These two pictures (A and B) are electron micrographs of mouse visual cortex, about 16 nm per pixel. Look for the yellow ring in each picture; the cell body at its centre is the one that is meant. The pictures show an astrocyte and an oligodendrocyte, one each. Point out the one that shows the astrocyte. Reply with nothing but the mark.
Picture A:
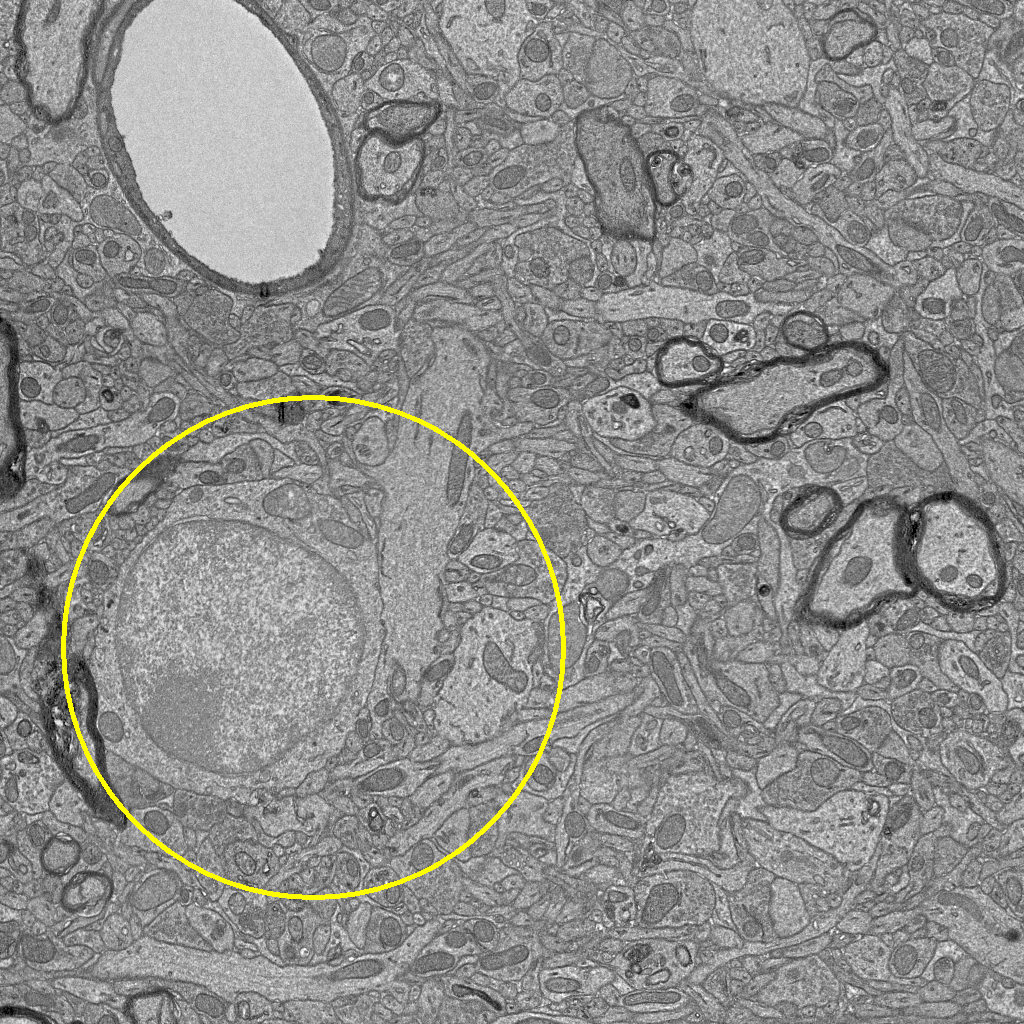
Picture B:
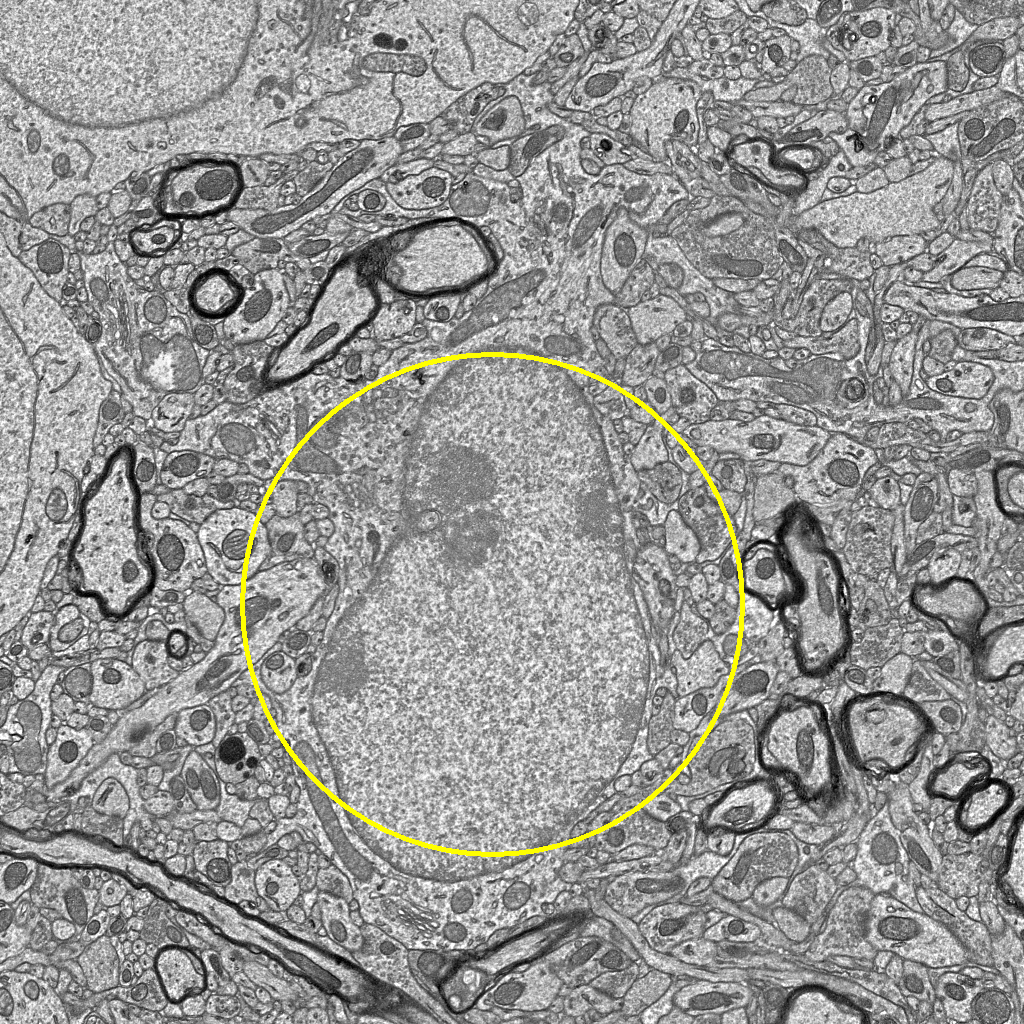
B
